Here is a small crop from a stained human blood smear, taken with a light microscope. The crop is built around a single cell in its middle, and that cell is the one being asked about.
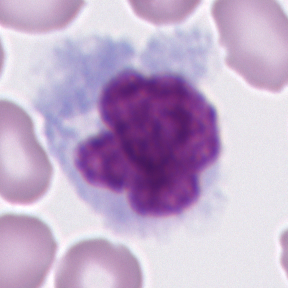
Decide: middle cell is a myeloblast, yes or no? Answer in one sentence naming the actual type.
No, the central cell is not a myeloblast, being instead a hairy cell.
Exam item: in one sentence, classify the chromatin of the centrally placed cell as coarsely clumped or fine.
Its chromatin is finely dispersed rather than coarsely clumped.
